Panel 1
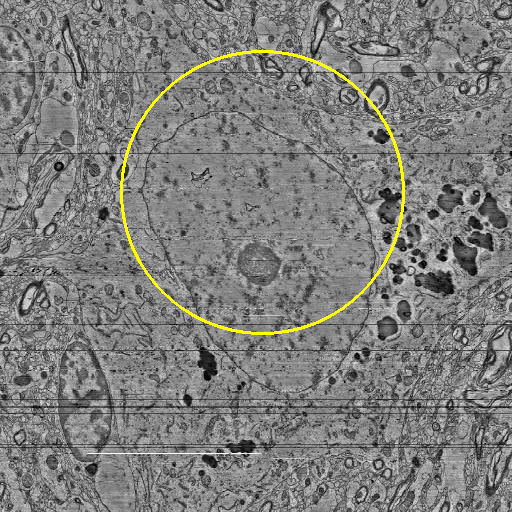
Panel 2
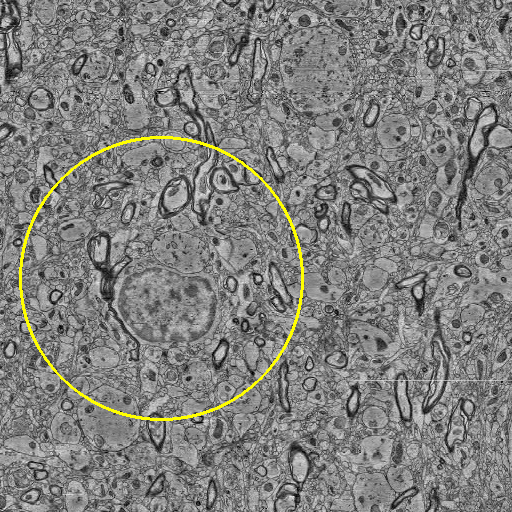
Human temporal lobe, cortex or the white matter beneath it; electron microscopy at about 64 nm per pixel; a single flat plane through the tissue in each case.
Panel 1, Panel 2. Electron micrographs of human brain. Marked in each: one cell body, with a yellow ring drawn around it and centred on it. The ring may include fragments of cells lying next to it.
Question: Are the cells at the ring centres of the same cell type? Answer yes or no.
no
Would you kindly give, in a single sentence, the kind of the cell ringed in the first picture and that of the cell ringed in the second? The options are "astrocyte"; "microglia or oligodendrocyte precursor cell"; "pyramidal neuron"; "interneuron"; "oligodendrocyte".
The second cell is an oligodendrocyte, and the first cell is a pyramidal neuron.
